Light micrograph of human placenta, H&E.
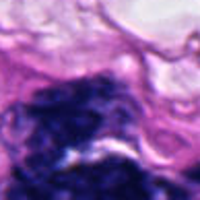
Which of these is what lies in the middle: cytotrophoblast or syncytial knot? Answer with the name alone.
syncytial knot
